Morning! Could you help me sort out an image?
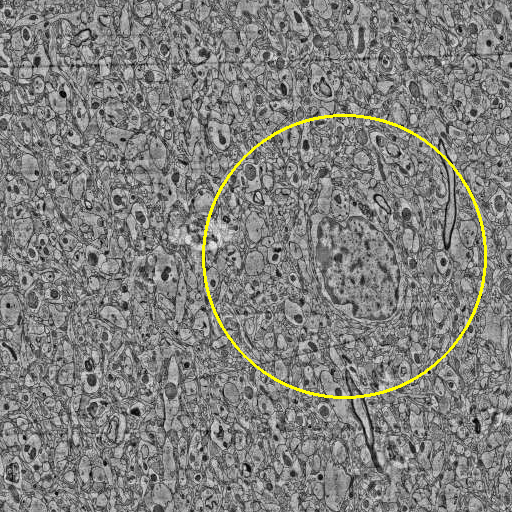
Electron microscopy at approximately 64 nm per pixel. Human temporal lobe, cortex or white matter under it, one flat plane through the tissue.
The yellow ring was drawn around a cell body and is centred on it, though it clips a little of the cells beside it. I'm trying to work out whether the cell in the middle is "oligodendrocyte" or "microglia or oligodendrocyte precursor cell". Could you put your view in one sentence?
The ringed cell body is that of a microglial cell or oligodendrocyte precursor cell.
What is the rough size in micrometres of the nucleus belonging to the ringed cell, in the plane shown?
In this plane the nucleus measures roughly 7 by 5 micrometres.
